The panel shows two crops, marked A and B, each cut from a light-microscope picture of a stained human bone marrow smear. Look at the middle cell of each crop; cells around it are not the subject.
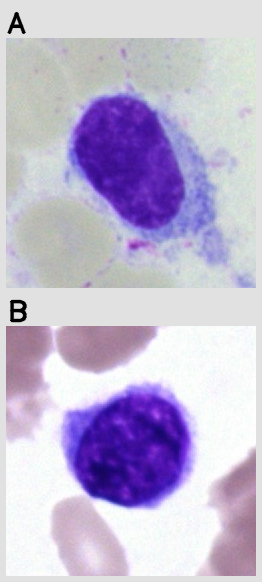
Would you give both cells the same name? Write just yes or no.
yes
